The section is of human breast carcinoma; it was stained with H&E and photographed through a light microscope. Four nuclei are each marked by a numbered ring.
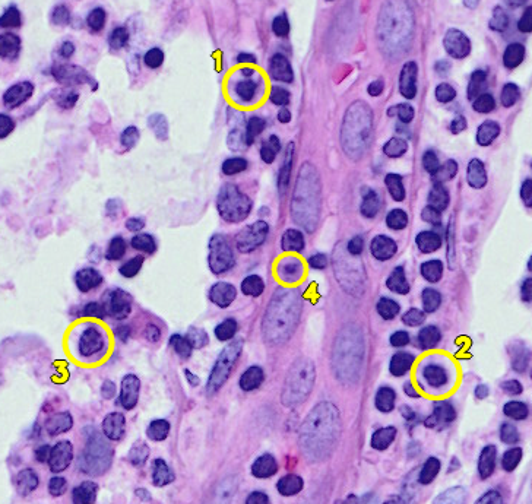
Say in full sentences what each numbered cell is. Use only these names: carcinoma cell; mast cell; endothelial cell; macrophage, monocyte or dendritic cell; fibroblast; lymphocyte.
Cell 1 is a lymphocyte, cell 2 is a lymphocyte, cell 3 is a lymphocyte and cell 4 is an endothelial cell.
